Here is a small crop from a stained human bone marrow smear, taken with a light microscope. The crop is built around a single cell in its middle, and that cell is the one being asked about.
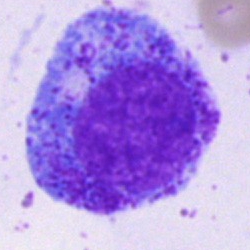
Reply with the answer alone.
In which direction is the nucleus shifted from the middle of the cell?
lower right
